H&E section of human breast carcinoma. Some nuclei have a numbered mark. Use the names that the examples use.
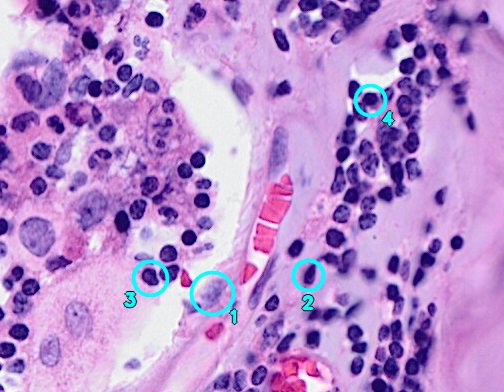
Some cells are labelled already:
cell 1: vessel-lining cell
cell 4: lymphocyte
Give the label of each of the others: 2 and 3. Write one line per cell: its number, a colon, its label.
2: lymphocyte
3: lymphocyte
